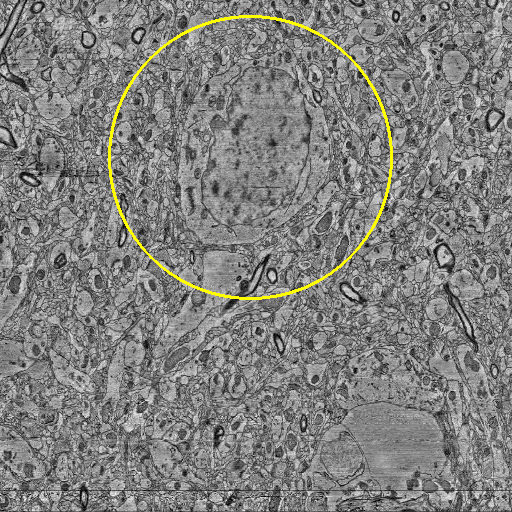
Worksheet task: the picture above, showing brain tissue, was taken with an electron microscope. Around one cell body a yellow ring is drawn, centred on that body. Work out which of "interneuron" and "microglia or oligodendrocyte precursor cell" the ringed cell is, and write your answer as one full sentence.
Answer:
It is an interneuron whose cell body lies at the centre of the yellow ring.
